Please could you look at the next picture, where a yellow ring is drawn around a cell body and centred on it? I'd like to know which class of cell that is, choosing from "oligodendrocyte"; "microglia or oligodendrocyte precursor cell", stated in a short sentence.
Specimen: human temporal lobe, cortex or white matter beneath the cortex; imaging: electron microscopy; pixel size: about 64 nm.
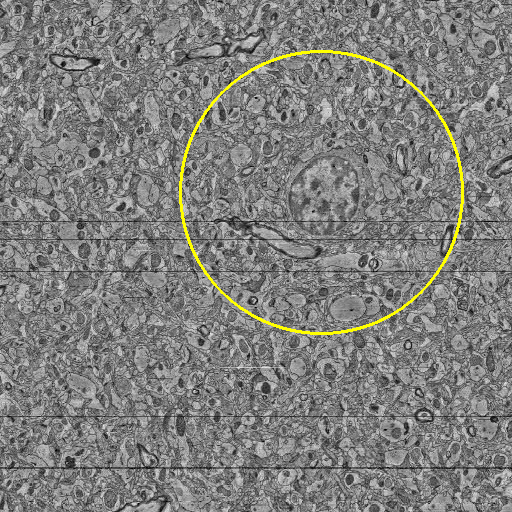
The ring's centre lies on an oligodendrocyte.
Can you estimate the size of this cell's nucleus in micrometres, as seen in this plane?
The nucleus works out at approximately 5 by 4 micrometres in this plane.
